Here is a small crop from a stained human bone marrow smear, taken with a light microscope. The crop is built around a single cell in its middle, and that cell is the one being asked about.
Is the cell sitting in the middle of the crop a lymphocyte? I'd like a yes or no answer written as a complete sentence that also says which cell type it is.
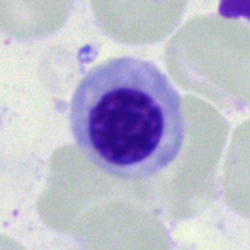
No, the cell centered in the crop is a normoblast, not a lymphocyte.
